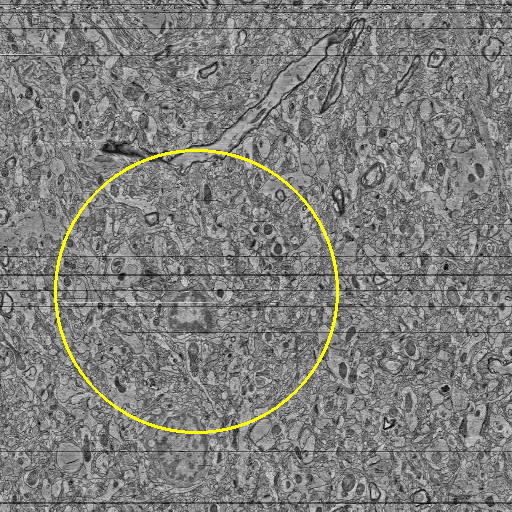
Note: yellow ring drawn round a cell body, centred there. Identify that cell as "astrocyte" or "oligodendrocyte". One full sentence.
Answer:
The cell in the middle of the ring is an oligodendrocyte.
